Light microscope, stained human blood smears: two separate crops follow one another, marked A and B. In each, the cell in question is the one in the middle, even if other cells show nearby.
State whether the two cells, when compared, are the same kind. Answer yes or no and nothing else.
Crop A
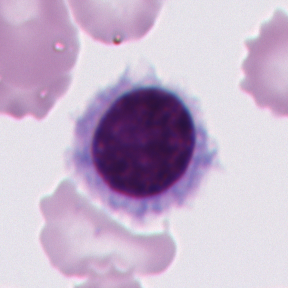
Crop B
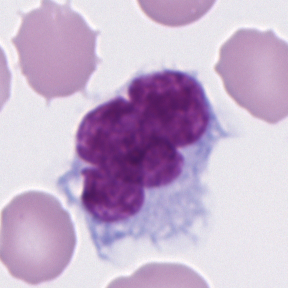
yes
